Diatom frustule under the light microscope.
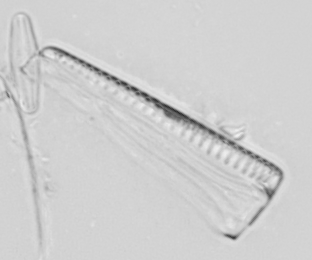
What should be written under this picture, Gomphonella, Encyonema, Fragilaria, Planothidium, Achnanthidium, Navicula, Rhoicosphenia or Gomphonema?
Gomphonella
